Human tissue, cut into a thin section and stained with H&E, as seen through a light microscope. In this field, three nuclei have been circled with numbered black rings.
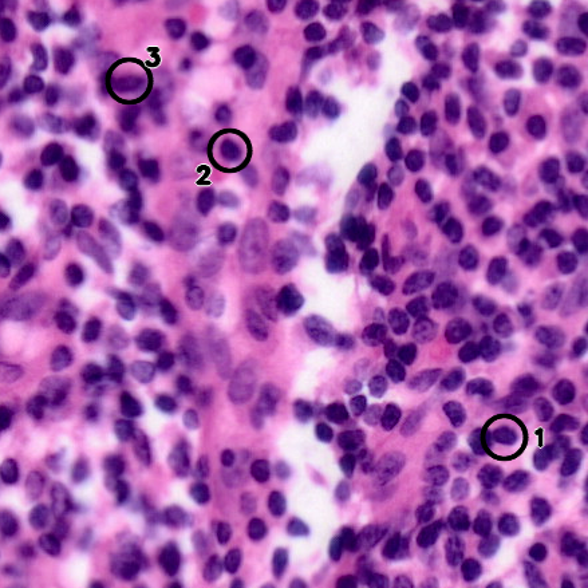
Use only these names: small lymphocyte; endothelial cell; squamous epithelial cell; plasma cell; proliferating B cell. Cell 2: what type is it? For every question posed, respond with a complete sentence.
The cell that goes by number 2 is an endothelial cell.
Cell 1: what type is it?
Nucleus 1 in this section belongs to a small lymphocyte.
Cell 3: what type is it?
Numbered cell 3 is an endothelial cell in this tissue section.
